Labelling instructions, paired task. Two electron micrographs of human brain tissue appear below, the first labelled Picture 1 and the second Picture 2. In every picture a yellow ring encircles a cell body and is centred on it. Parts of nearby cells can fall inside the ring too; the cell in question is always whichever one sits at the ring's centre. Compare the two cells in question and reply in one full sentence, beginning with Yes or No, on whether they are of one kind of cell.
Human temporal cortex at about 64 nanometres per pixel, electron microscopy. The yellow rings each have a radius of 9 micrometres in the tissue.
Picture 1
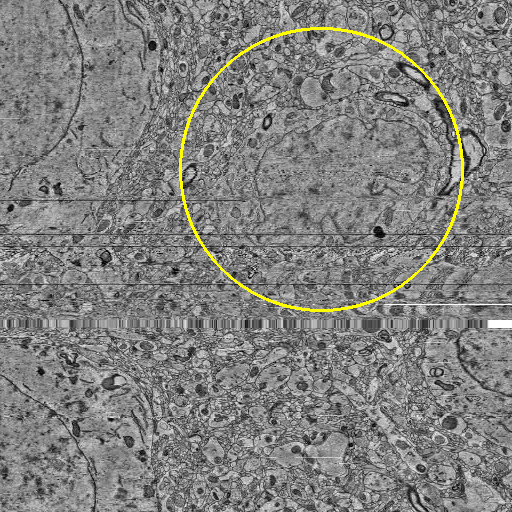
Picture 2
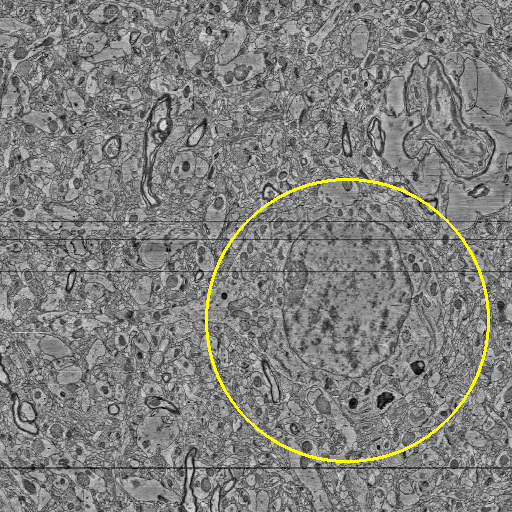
Yes, the two cells at the ring centres in Picture 1 and Picture 2 are of one kind.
